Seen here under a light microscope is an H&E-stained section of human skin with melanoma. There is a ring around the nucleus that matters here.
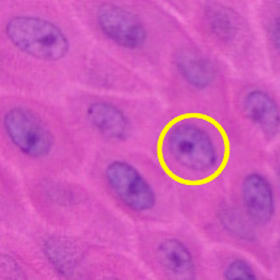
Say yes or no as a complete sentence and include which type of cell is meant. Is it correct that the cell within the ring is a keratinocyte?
Yes, no change needed: the cell within the ring is a keratinocyte.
